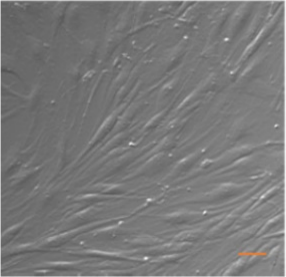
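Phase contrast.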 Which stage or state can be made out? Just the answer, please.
Spindle shaped morphology.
